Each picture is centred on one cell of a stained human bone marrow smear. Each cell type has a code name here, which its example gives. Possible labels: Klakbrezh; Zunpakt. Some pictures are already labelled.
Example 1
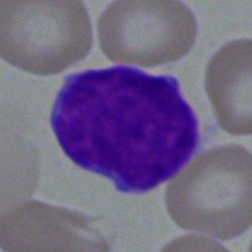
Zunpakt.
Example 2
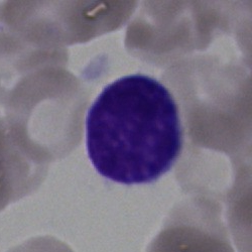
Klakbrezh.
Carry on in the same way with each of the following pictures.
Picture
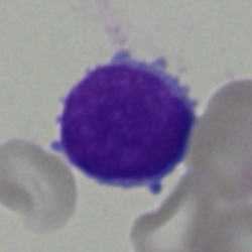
Zunpakt.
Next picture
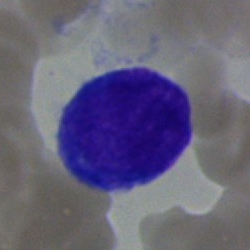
Zunpakt.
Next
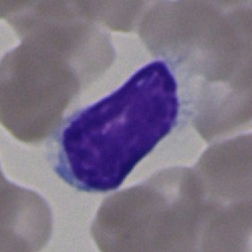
Klakbrezh.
